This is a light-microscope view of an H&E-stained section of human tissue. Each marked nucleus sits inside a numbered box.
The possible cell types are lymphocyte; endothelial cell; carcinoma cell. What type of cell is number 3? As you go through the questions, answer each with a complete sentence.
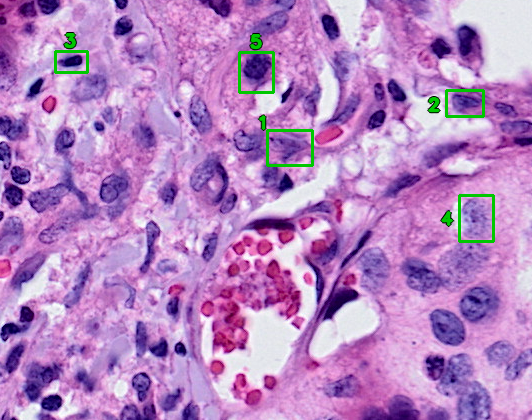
The cell marked with the number 3 is a lymphocyte.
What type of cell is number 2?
The correct answer for cell 2 is an endothelial cell.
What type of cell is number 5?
The cell marked with the number 5 is a carcinoma cell.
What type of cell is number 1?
The nucleus labeled 1 belongs to an endothelial cell.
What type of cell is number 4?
In the marked set, the cell given number 4 is a carcinoma cell.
